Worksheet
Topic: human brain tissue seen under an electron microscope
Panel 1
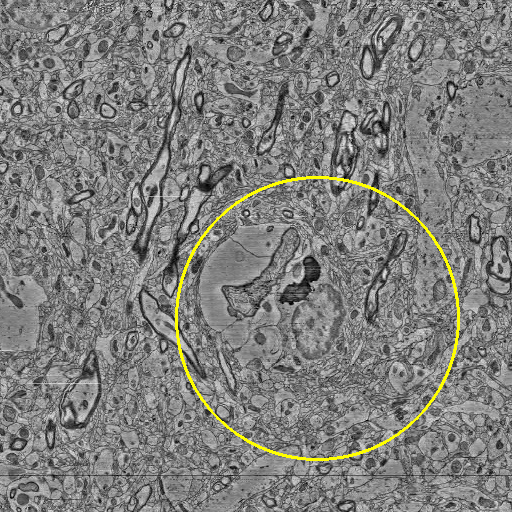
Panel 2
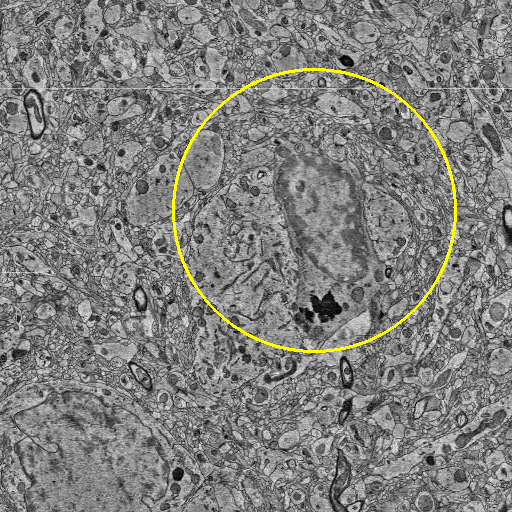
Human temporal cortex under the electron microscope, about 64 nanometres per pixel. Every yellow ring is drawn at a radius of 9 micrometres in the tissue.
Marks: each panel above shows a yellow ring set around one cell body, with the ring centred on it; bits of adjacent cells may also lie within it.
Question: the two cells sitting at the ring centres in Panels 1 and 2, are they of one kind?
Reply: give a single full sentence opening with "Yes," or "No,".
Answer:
Yes, the two ring-centre cells in Panel 1 and Panel 2 are of one kind.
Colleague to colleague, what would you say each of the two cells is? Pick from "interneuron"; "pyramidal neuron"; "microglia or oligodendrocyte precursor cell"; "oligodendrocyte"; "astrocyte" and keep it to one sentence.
The cell at the ring centre is an oligodendrocyte in both pictures.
